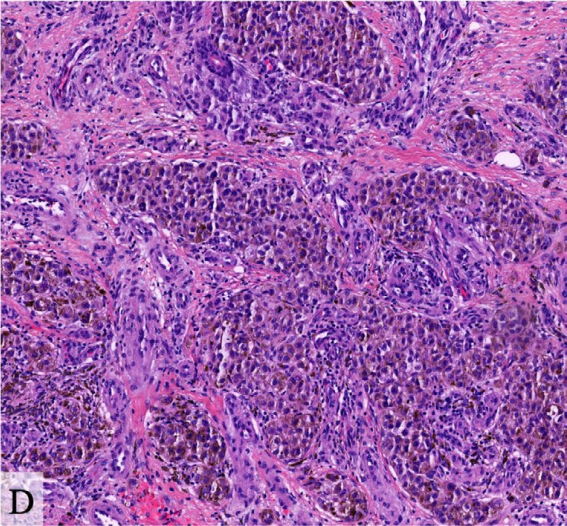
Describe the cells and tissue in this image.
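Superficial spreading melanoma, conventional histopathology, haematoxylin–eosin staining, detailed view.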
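Dermis infiltrated by nests of melanocytic tumour cells. The tumour cells have round to oval purple nuclei and ample cytoplasm, much of it filled with coarse brown pigment granules. Pigment is heavier in some nests than in others. The nests vary in size and shape and partly merge with one another, with smaller clusters of less pigmented cells scattered in the stroma between the larger nests.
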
